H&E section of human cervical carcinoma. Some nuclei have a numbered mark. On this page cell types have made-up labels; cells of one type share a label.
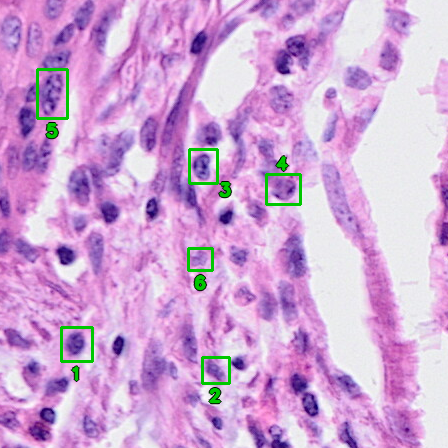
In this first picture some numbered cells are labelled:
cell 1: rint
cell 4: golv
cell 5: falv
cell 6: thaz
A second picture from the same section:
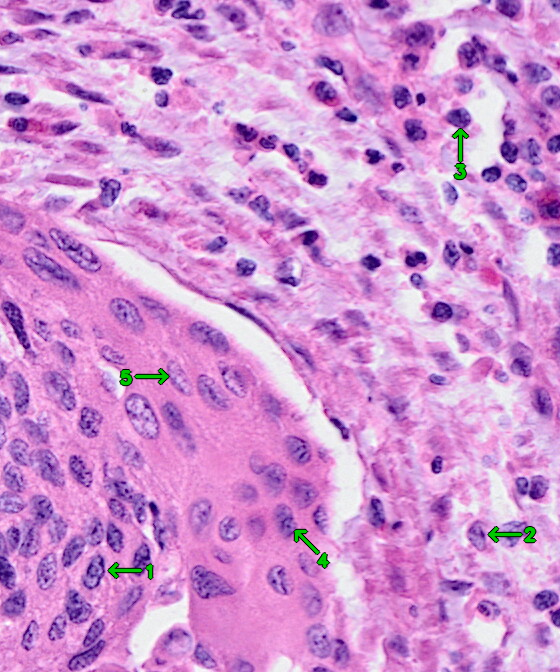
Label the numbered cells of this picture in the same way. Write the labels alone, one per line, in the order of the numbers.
falv
golv
rint
falv
falv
